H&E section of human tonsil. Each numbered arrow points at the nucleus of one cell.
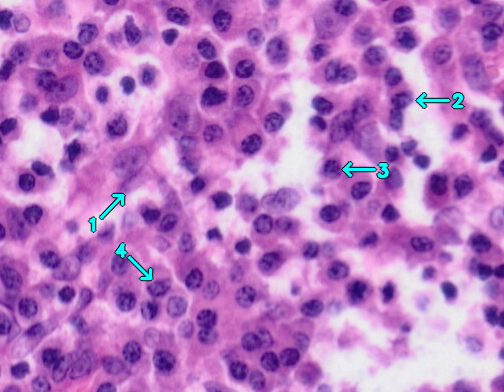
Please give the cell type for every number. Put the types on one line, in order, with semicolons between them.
squamous epithelial cell; plasma cell; plasma cell; plasma cell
